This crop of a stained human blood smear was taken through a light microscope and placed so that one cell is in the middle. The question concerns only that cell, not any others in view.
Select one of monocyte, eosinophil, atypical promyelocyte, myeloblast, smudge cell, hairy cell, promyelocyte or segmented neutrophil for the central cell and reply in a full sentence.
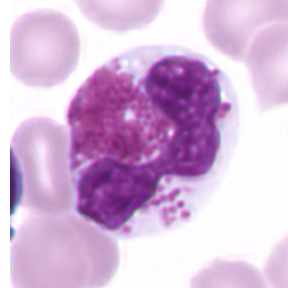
The cell at the middle of the frame should be recorded as an eosinophil.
